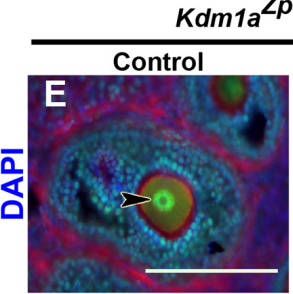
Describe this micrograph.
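A follicle is seen with a large round oocyte lying off-centre among the surrounding follicle cells. The oocyte cytoplasm glows green, and its nucleus shows as a brighter green ring near the cell centre. A thin red rim outlines the oocyte. Around it are several layers of small follicle cells whose round nuclei are blue, packed closely together, with a dark space among them on the far side of the follicle. Red outlines also mark the edges of the follicle and neighbouring tissue.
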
